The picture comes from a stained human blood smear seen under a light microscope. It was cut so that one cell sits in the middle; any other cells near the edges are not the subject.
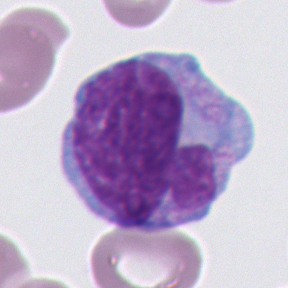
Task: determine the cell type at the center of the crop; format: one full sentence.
The cell that lies at the centre of the crop is an atypical promyelocyte.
